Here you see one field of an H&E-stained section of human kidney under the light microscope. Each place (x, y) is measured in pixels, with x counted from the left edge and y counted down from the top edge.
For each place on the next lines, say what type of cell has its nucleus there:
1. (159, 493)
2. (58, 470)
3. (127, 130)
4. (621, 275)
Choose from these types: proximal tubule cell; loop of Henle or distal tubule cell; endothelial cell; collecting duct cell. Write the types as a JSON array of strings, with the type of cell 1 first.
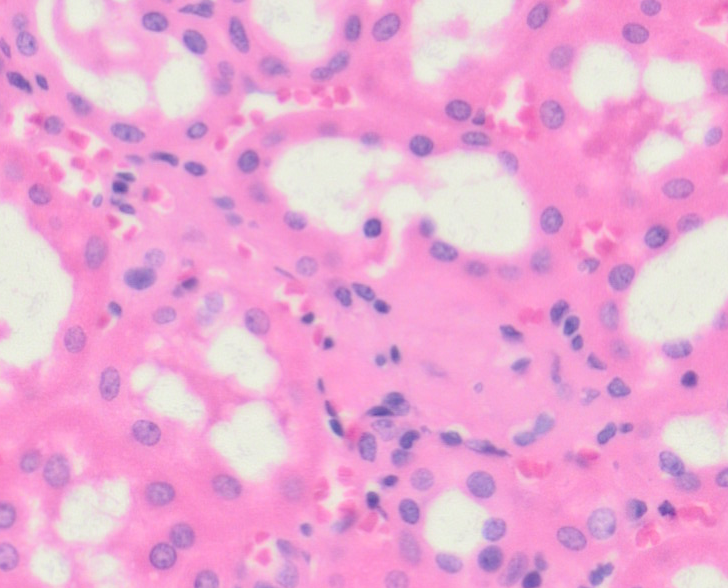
["proximal tubule cell", "proximal tubule cell", "collecting duct cell", "loop of Henle or distal tubule cell"]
